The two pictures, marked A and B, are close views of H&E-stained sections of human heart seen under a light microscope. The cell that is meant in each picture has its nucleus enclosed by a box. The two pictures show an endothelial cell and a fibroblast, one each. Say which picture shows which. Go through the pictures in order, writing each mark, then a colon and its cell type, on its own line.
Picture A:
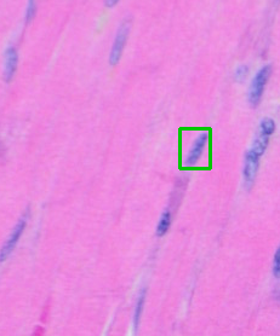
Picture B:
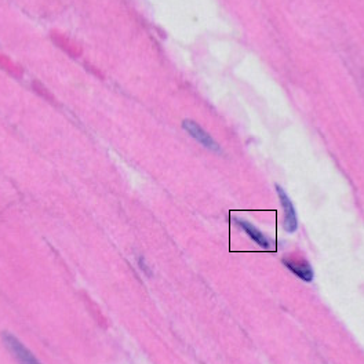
A: fibroblast
B: endothelial cell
